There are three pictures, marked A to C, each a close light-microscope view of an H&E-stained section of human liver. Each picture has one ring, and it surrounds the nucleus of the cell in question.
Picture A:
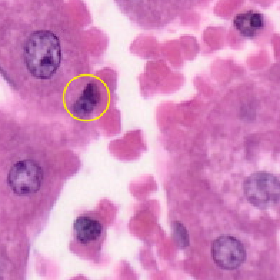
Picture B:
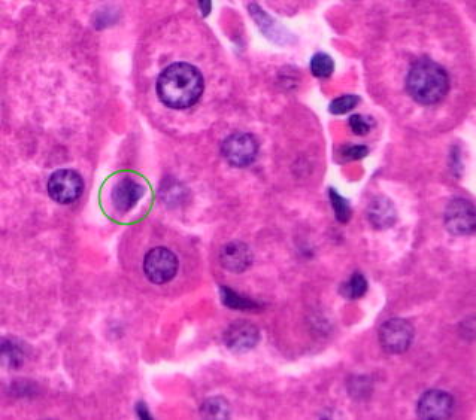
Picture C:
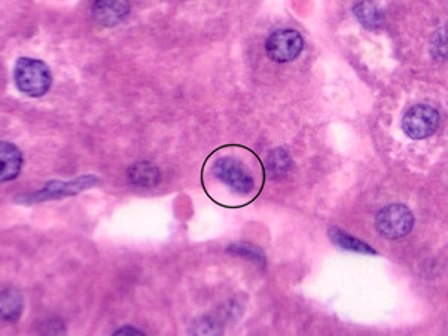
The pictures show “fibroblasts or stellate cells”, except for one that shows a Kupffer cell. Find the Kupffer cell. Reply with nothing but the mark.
B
